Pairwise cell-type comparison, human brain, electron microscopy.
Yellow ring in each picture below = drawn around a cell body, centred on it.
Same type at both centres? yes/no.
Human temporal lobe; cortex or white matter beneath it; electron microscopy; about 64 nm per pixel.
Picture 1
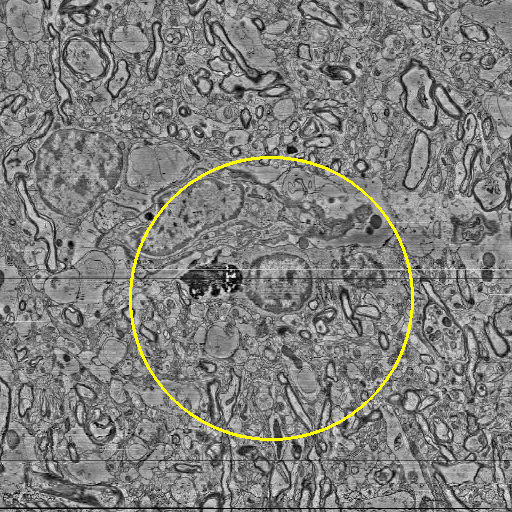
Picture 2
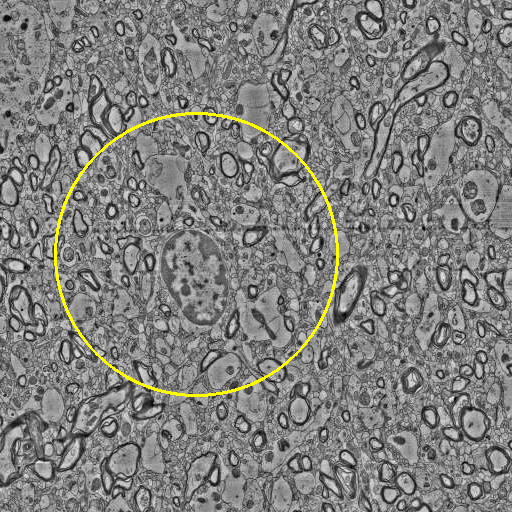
no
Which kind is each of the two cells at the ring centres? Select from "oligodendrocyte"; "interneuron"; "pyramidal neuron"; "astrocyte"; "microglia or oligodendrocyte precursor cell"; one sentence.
The cell at the centre of the ring is an oligodendrocyte in the first picture and a microglial cell or oligodendrocyte precursor cell in the second.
